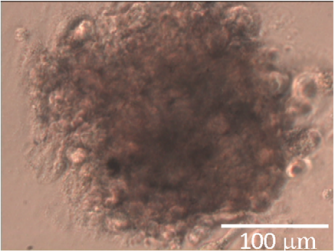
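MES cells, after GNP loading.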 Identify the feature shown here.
Cell aggregates.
